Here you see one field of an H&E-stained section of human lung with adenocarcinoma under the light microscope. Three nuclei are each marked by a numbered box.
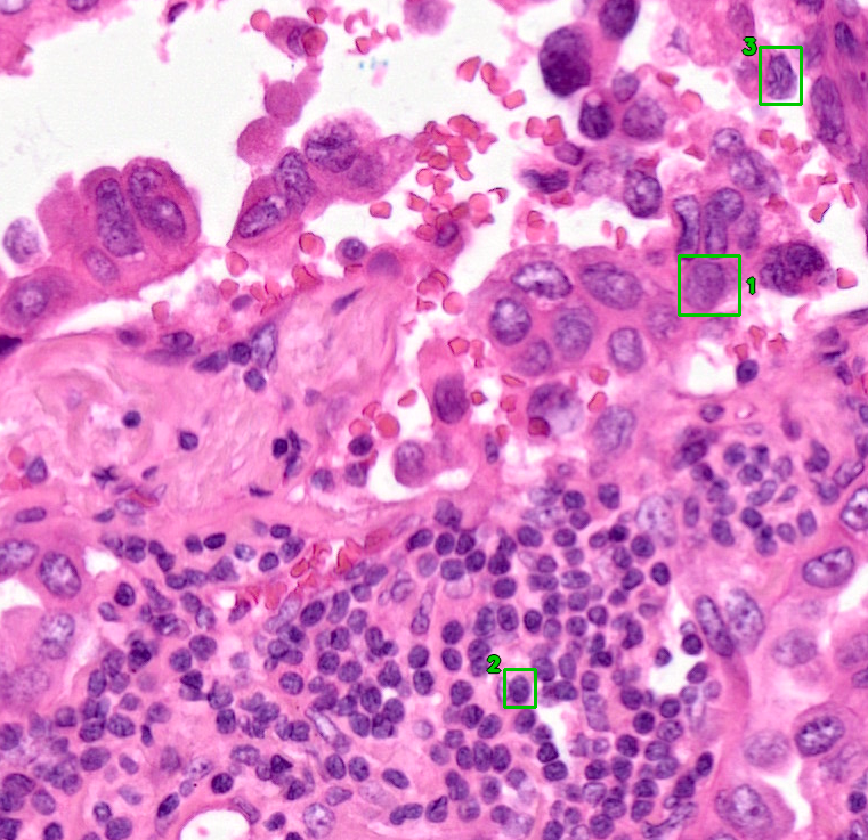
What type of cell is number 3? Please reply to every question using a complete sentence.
The cell given label 3 is a carcinoma cell.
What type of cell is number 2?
That cell with number 2 is a lymphocyte.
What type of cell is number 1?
The cell that carries the label 1 is a carcinoma cell.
